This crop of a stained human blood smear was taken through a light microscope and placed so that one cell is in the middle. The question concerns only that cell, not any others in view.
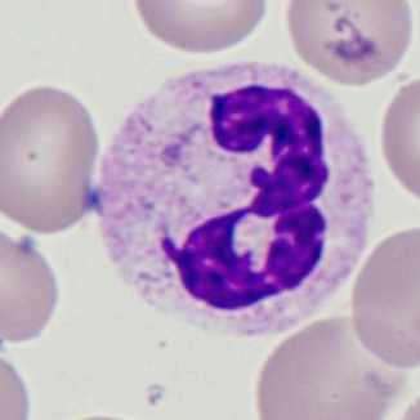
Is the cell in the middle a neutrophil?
yes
